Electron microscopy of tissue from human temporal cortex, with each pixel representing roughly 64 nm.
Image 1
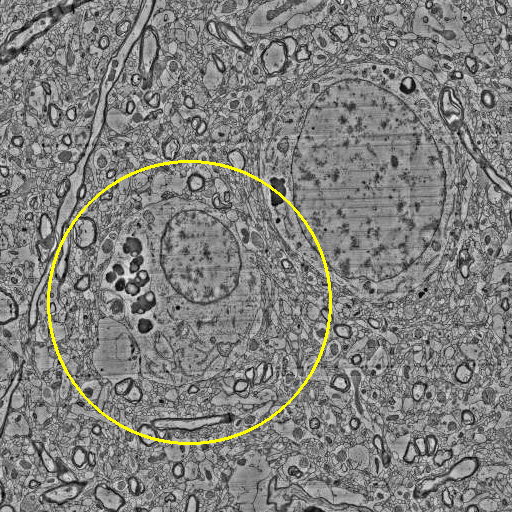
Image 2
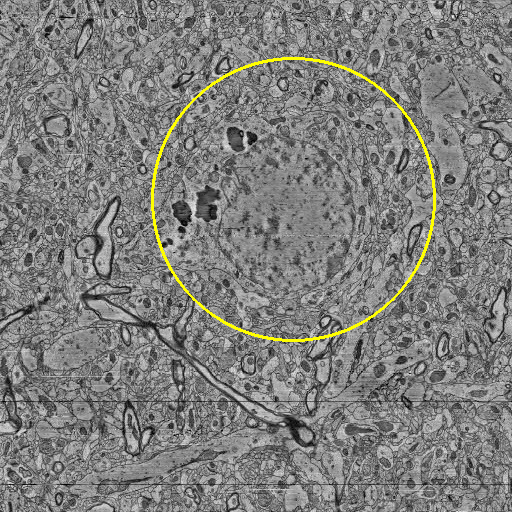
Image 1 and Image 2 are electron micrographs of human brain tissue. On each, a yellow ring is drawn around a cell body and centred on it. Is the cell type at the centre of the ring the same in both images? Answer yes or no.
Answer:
no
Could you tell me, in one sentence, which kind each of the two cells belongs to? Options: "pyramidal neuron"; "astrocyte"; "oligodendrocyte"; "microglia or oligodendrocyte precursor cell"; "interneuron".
At the centre of the first ring sits a pyramidal neuron, and at the centre of the second sits an interneuron.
